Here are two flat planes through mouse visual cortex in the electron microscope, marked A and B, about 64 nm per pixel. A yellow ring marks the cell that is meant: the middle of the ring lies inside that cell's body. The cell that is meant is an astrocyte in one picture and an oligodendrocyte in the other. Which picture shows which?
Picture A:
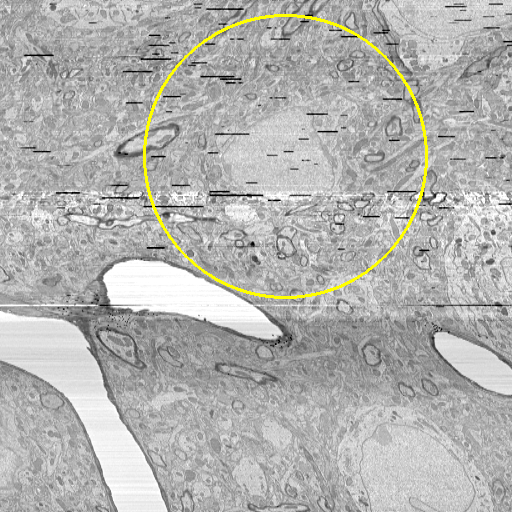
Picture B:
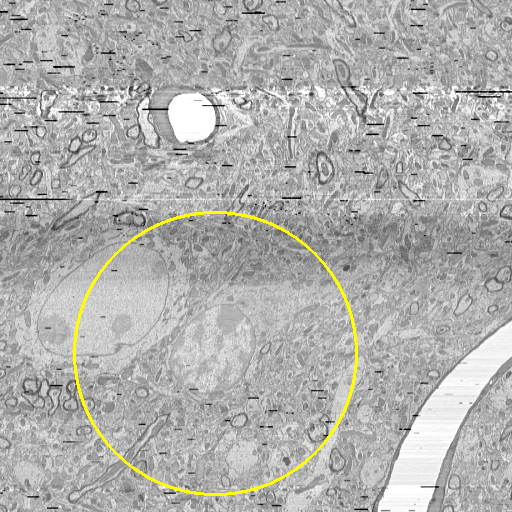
Picture A shows an astrocyte and picture B shows an oligodendrocyte.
